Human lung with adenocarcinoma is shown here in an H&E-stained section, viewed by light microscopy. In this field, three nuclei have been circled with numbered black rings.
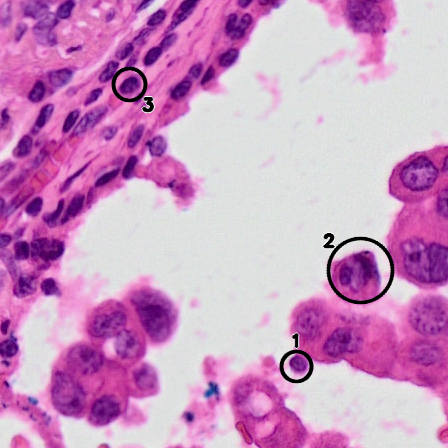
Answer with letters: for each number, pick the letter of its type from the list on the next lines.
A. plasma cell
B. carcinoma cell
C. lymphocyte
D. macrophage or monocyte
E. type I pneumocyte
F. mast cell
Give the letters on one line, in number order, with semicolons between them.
C; B; C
